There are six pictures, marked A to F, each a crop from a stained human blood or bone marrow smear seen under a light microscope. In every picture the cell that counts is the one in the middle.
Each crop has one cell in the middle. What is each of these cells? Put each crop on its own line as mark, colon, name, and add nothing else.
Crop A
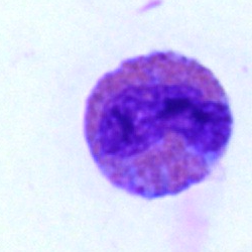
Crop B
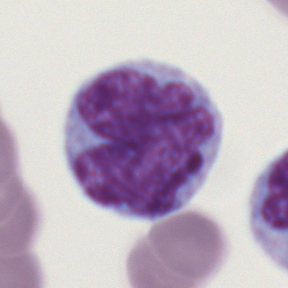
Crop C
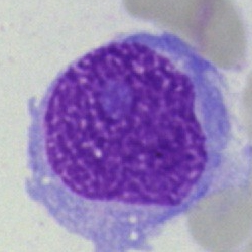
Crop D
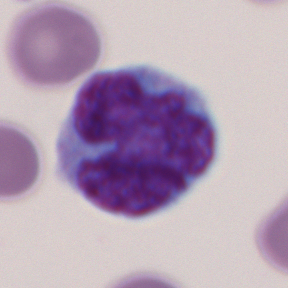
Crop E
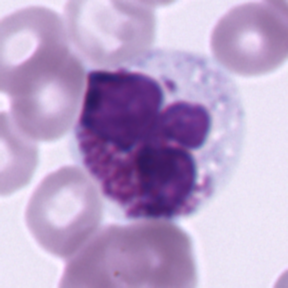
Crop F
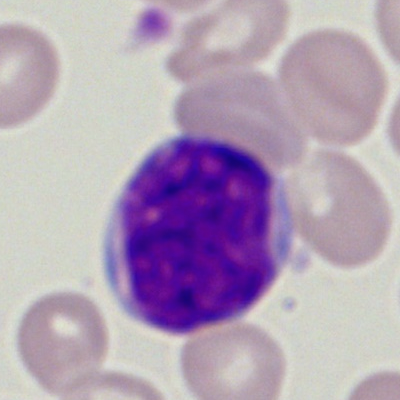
A: eosinophil
B: monocyte
C: blast
D: monocyte
E: eosinophil
F: blast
